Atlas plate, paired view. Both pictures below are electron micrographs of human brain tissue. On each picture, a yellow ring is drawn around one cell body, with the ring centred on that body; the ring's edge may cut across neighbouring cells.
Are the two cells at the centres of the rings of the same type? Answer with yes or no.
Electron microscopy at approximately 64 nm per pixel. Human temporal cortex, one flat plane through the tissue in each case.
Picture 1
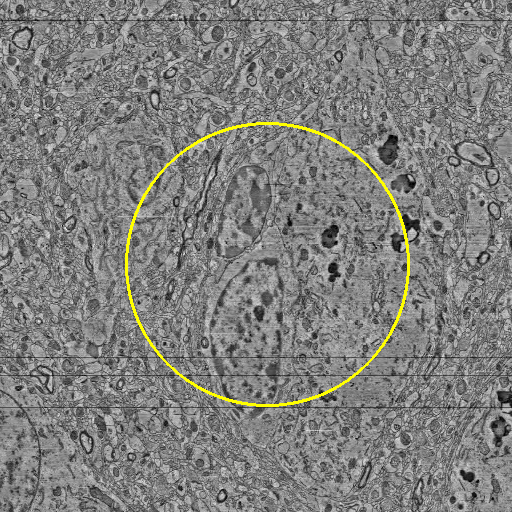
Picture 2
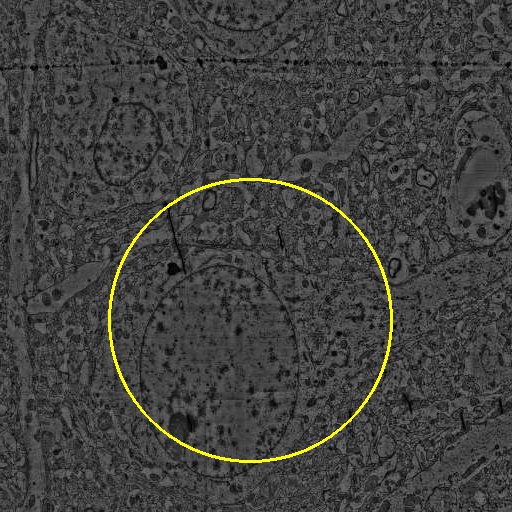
no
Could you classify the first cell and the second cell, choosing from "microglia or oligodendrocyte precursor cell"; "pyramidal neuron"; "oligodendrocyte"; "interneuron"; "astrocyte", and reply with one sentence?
The second cell is a pyramidal neuron, while the first is a microglial cell or oligodendrocyte precursor cell.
